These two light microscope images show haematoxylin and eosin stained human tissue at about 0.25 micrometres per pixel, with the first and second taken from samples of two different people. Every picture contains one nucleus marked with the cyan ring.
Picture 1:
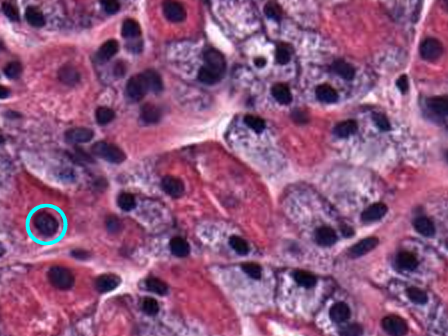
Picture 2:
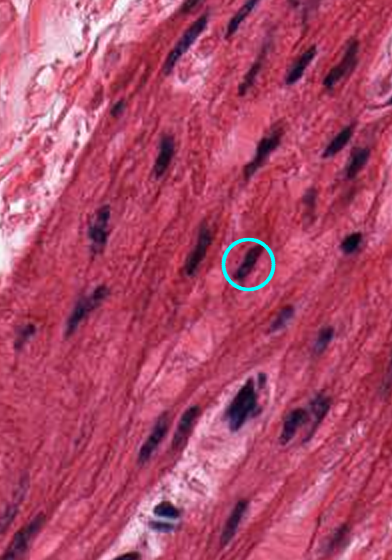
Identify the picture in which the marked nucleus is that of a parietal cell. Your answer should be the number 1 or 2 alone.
1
